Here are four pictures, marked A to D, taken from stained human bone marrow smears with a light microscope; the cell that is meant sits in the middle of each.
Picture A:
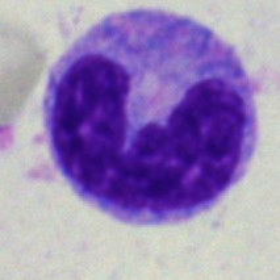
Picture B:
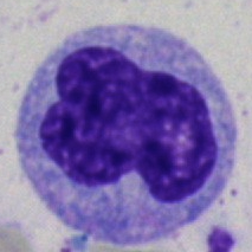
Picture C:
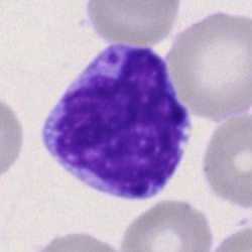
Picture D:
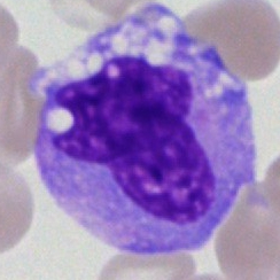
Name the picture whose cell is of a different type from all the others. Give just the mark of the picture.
C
